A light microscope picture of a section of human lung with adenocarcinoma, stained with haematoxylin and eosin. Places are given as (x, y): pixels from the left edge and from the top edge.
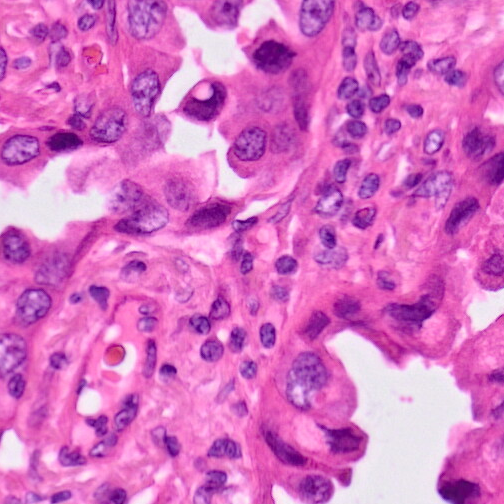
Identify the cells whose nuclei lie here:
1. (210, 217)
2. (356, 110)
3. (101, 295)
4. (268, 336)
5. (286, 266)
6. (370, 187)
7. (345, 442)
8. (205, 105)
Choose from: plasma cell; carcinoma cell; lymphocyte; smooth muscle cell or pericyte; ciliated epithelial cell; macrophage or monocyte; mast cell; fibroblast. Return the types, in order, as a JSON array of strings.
["carcinoma cell", "lymphocyte", "lymphocyte", "lymphocyte", "lymphocyte", "mast cell", "carcinoma cell", "carcinoma cell"]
